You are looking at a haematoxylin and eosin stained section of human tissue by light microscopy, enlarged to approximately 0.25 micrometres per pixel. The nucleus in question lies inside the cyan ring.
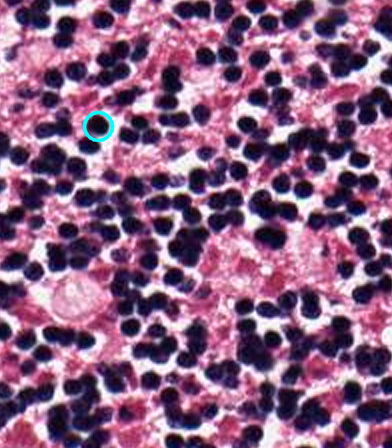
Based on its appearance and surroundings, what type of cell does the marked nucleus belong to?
cerebellar granule cell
